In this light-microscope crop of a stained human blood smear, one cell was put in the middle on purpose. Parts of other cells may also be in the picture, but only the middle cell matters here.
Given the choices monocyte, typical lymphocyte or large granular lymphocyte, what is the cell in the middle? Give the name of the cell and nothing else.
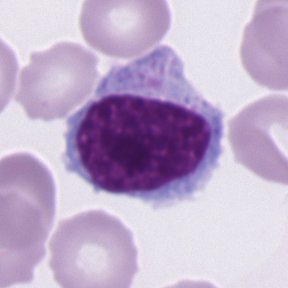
large granular lymphocyte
